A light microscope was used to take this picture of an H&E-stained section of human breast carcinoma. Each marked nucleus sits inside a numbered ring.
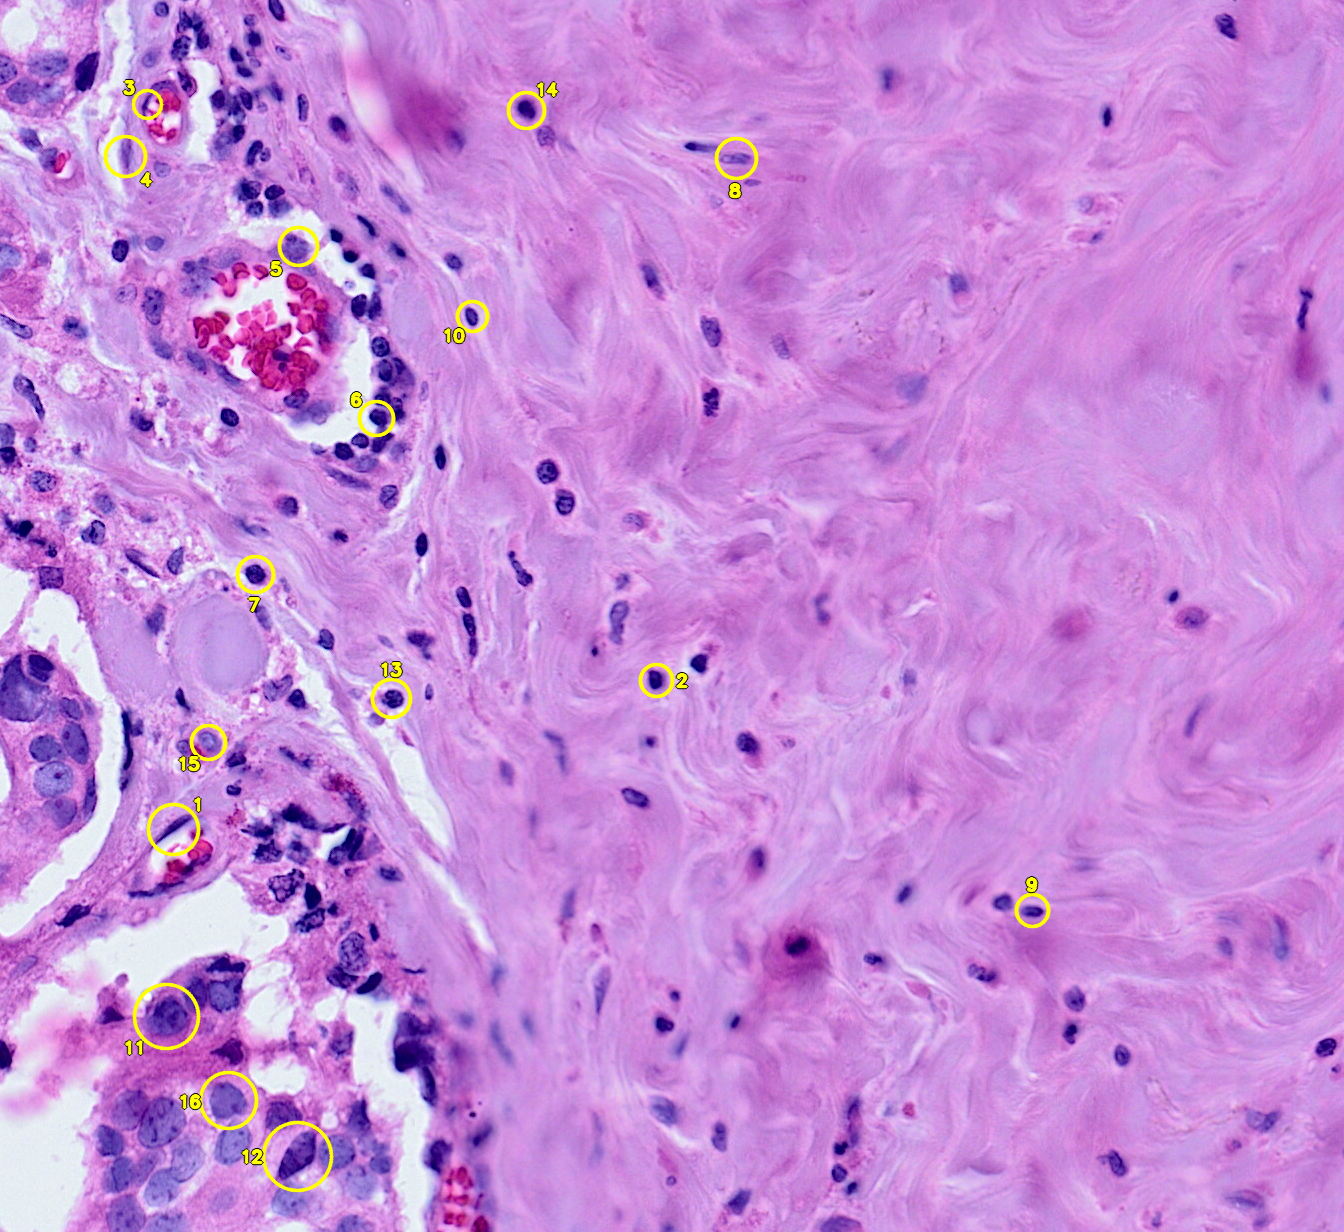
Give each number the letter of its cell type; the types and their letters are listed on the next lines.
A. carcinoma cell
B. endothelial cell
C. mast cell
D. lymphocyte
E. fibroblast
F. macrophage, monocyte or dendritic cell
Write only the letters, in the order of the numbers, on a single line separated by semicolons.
B; D; B; E; B; D; D; E; D; D; A; A; D; D; B; A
